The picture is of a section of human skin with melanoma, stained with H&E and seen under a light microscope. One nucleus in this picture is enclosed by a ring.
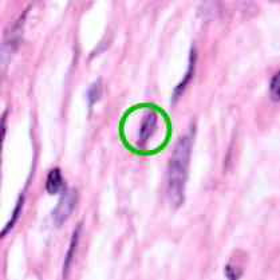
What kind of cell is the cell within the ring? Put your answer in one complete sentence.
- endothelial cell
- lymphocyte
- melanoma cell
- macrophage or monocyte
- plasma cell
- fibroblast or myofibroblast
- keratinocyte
In this section of tissue, the cell within the ring is a fibroblast or myofibroblast.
